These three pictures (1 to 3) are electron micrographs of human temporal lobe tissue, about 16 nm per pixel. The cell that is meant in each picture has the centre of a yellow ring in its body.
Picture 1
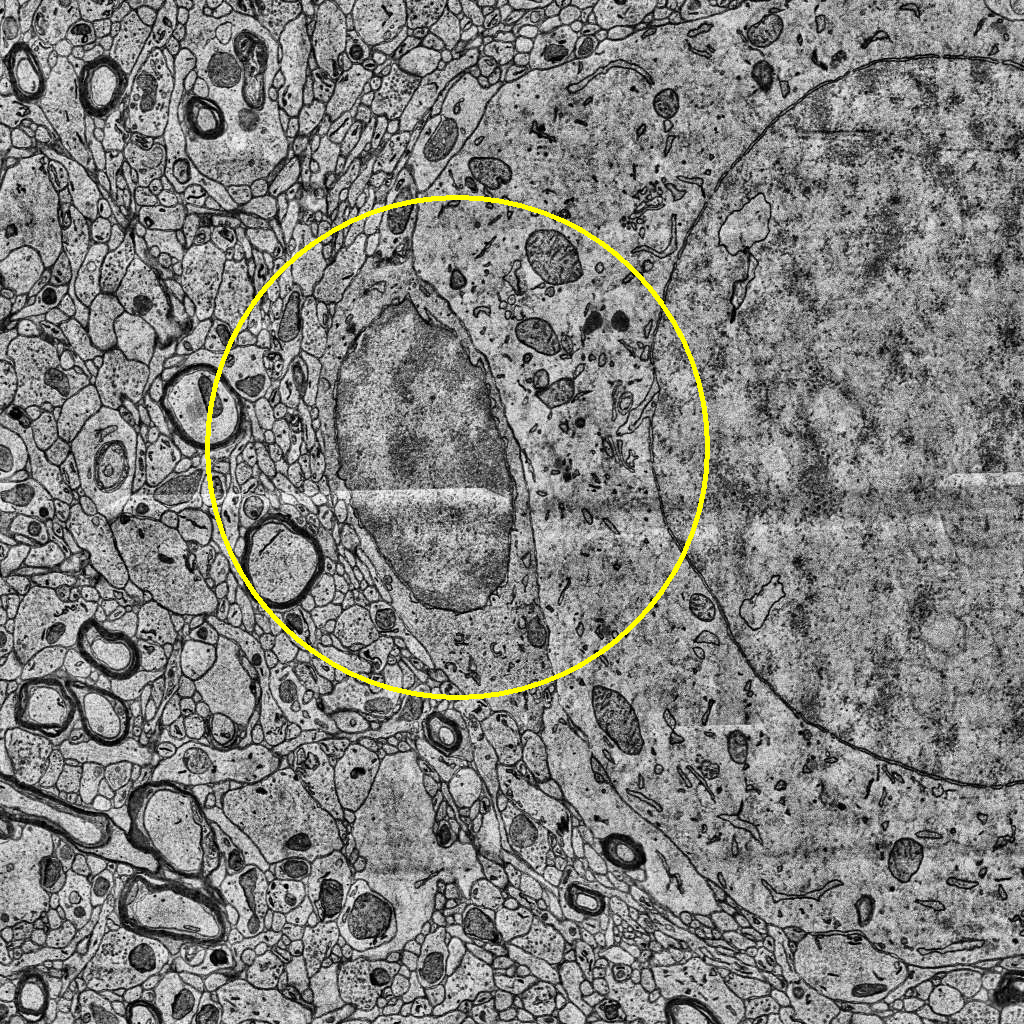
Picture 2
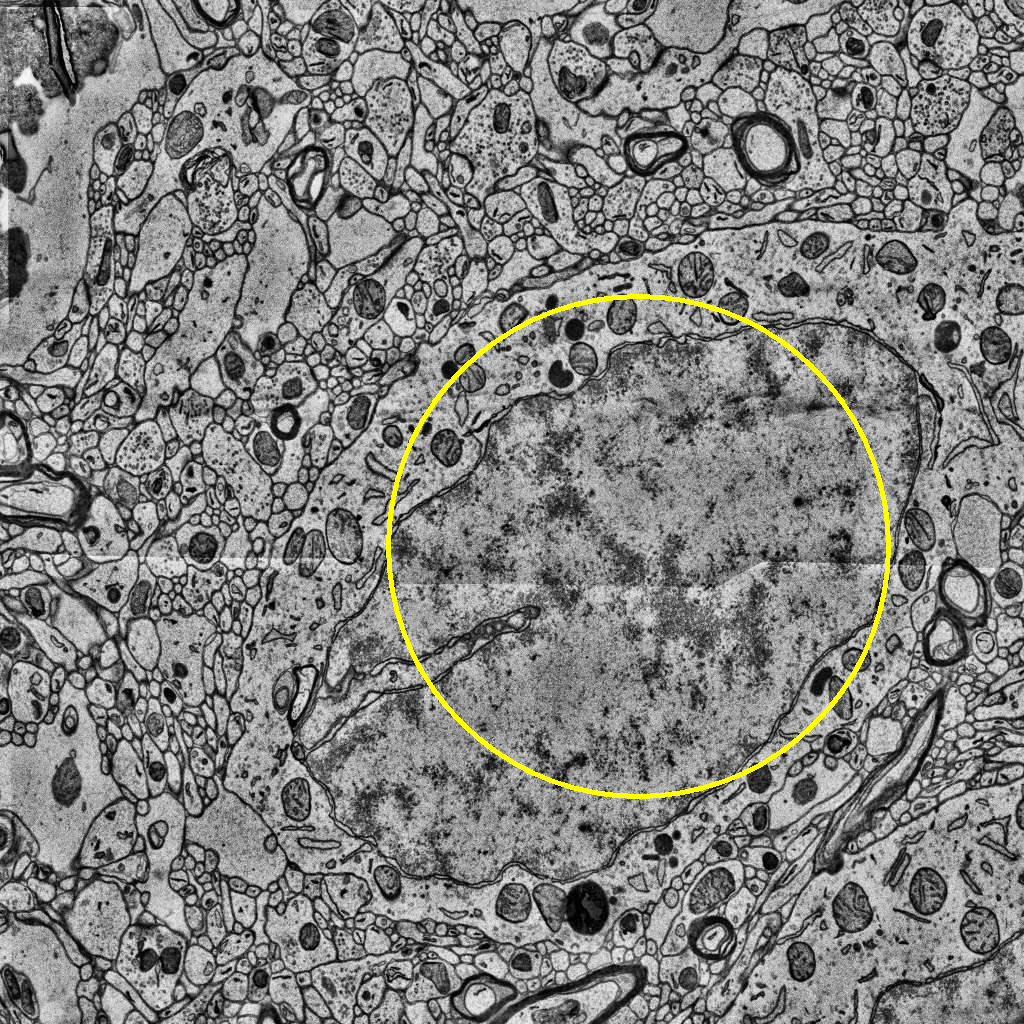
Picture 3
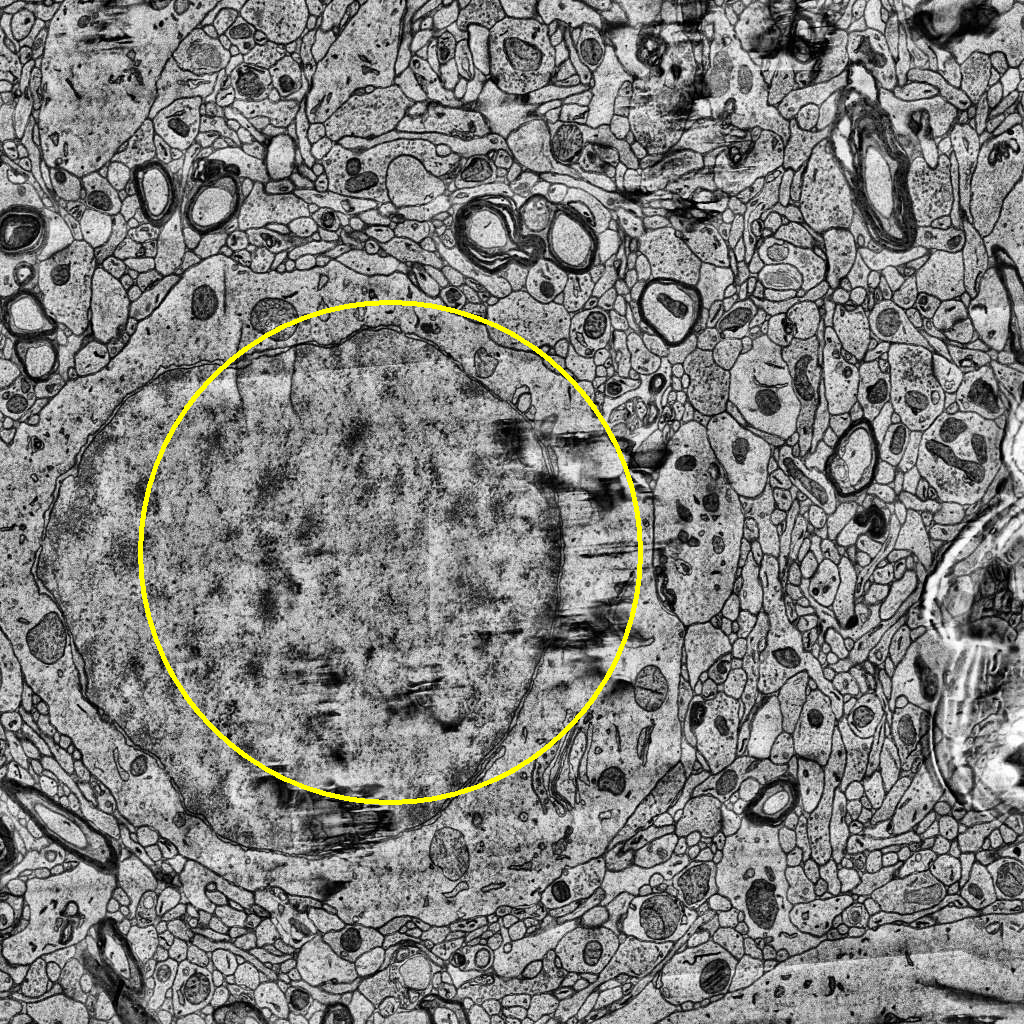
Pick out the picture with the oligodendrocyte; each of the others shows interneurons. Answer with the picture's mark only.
1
